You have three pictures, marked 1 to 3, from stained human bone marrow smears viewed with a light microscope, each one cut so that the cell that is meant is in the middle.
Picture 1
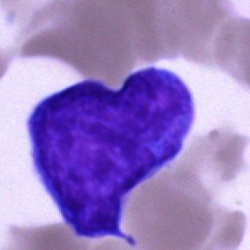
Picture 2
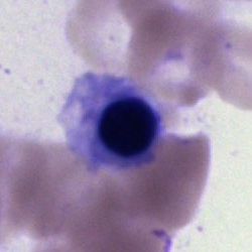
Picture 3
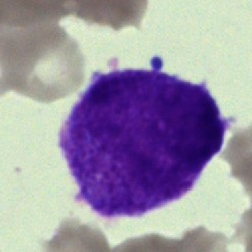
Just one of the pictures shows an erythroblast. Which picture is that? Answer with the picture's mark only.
2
